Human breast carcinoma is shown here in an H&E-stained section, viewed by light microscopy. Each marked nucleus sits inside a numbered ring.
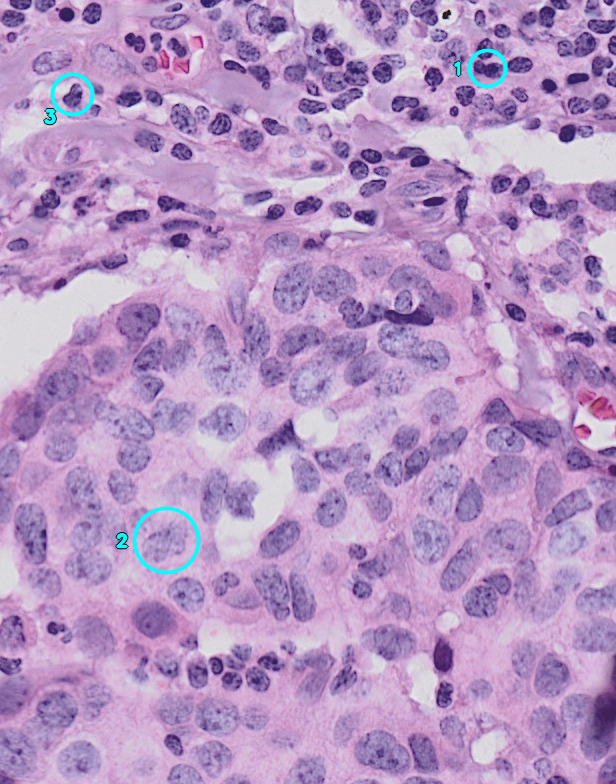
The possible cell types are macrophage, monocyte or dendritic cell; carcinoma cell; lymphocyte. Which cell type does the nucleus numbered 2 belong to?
carcinoma cell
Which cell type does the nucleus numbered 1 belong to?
lymphocyte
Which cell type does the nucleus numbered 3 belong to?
lymphocyte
